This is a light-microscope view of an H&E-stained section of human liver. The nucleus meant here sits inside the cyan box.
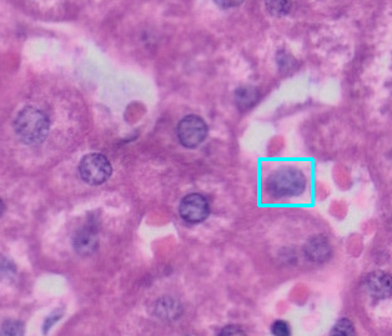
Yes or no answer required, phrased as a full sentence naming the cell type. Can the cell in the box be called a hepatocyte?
No, the cell in the box is not a hepatocyte but an endothelial cell.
